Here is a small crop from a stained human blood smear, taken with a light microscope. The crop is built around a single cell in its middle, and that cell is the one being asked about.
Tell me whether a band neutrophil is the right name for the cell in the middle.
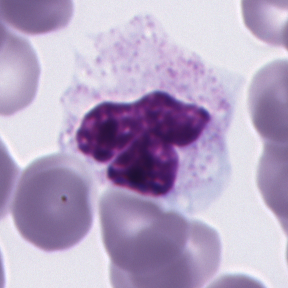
no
